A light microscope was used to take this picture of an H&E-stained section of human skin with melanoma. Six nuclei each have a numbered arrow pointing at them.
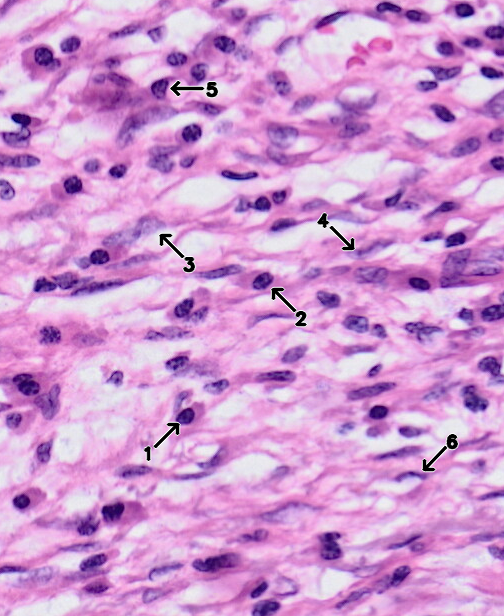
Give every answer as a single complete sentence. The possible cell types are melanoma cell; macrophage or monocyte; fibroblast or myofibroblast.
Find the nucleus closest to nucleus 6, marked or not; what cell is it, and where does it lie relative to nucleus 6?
Just above and to the left of nucleus 6 lies the nearest nucleus, which belongs to a fibroblast or myofibroblast.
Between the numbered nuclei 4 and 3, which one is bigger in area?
Nucleus 3 is the larger one, covering about 2 times the area of nucleus 4.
